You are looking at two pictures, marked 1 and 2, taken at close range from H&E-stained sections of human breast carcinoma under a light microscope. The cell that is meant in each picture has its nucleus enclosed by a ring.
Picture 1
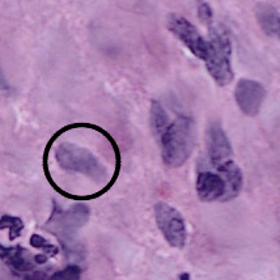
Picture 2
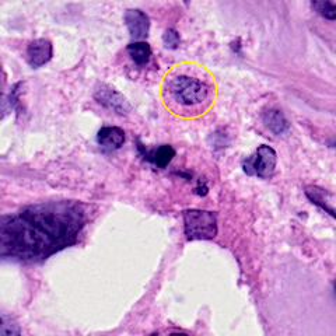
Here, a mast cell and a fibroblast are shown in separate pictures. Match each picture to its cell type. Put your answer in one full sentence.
Picture 1 shows a fibroblast and picture 2 shows a mast cell.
